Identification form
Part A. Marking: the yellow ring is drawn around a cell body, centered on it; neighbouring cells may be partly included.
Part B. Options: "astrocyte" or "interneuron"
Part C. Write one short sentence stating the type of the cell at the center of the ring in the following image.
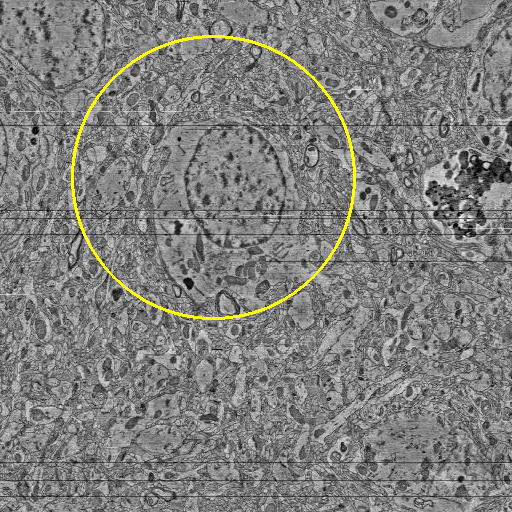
The center of the ring holds an astrocyte.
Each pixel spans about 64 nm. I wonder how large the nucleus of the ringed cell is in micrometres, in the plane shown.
Roughly 8 by 6 micrometres is the size of the nucleus in this plane.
